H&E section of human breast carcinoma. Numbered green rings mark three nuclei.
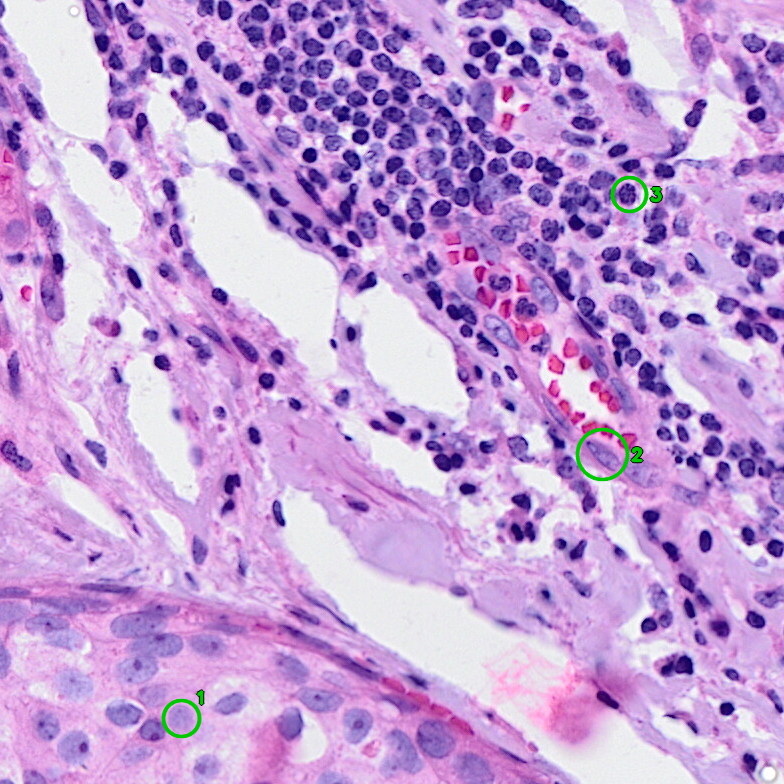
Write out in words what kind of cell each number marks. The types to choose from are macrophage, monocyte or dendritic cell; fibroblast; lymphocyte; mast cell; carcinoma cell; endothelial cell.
Cell 1 is a carcinoma cell, cell 2 is an endothelial cell and cell 3 is a lymphocyte.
